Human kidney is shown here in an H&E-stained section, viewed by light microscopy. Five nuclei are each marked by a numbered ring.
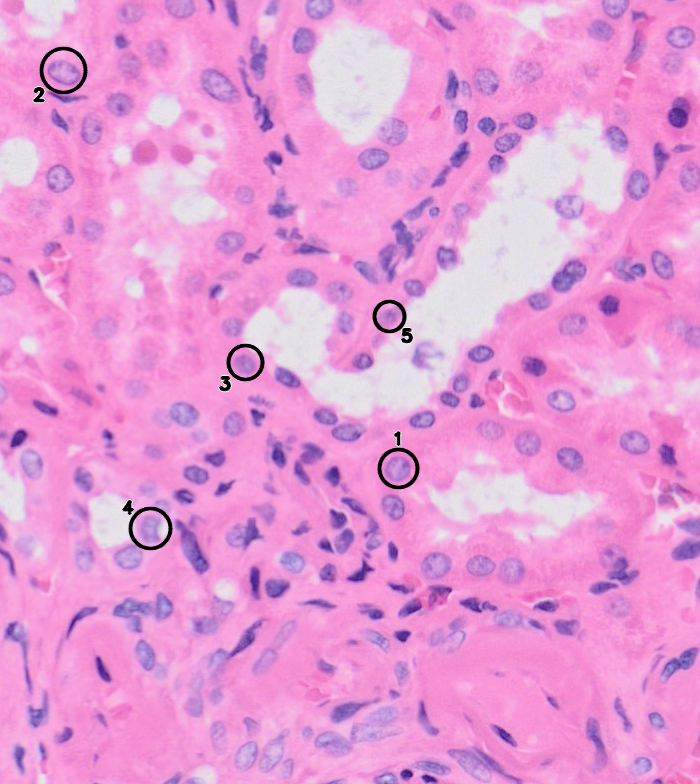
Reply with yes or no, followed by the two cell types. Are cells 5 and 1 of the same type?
No, cell 5 is a loop of Henle or distal tubule cell and cell 1 is a proximal tubule cell.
